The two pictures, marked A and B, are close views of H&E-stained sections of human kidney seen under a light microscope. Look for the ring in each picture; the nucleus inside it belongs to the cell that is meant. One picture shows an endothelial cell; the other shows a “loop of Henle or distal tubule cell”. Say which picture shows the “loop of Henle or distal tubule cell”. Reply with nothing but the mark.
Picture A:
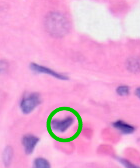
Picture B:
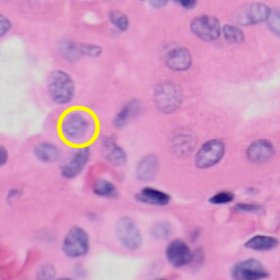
B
